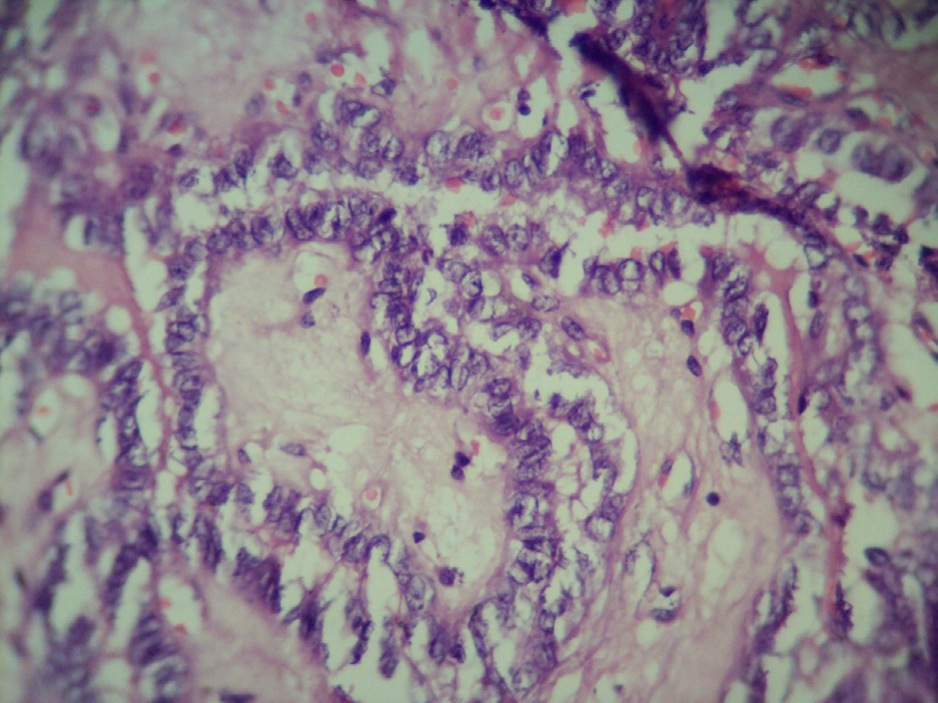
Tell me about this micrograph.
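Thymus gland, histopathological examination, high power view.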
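A tumour forms branching papillary fronds. Each frond has a loose, pale pink, finely vacuolated connective-tissue core that holds scattered red blood cells and a few small dark nuclei. Narrow clear spaces separate the epithelial layers of neighbouring fronds.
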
